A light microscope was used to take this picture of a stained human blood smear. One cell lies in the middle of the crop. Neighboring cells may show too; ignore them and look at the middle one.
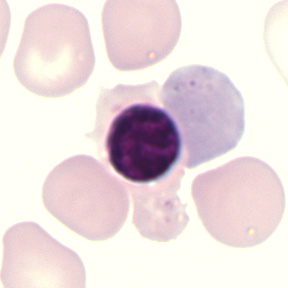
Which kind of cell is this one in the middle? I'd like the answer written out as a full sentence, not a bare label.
Centred in the crop is a normoblast.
